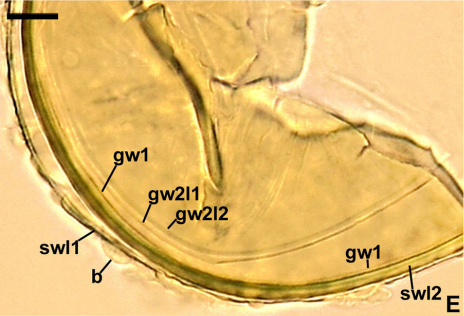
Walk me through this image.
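A crushed fungal spore is shown in section at its edge, with a layered wall. Outermost is a thin, pale layer bearing small rounded blister-like swellings on its surface, beneath which lies a thicker, darker yellow-green laminated layer. Inside these, separated from the outer wall, run thin, colourless, flexible inner walls, themselves made of fine layers, which follow the curve of the spore and fold where the spore has been broken.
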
